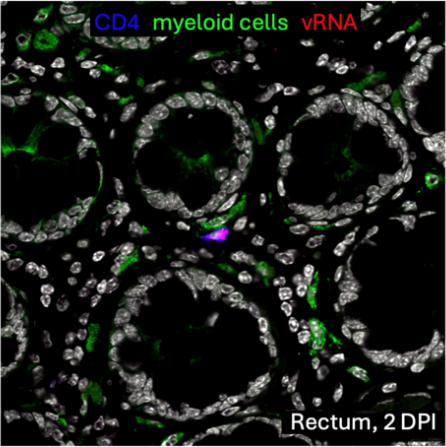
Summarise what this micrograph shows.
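This is rectal mucosa cut across its crypts, each crypt a ring of tall columnar epithelial cells with elongated nuclei lined up side by side around an empty lumen. Between the crypts lies a loose lamina propria with scattered rounder or spindle-shaped nuclei. Several green cells with irregular shapes and short processes sit in this connective tissue between the crypts, and faint green also lies within some crypt lumens. A single small cell between two crypts is bright magenta, where red and blue overlap.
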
